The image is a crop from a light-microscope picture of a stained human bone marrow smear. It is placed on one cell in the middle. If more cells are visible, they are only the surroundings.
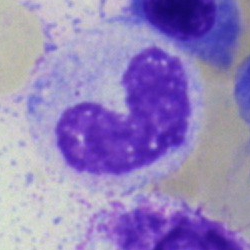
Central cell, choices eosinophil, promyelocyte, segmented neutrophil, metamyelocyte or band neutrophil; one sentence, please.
As for the cell in the middle, it is a band neutrophil.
